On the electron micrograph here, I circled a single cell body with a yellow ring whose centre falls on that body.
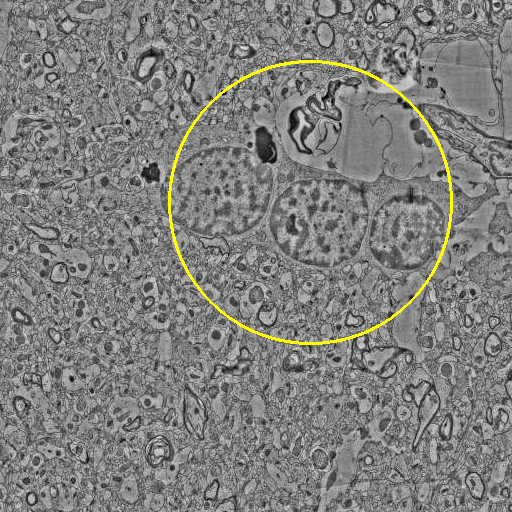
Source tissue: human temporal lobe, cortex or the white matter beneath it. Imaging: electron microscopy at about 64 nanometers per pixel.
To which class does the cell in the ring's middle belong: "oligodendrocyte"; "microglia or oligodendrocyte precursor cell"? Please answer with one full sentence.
In this picture, the cell body circled at the ring's centre belongs to an oligodendrocyte.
